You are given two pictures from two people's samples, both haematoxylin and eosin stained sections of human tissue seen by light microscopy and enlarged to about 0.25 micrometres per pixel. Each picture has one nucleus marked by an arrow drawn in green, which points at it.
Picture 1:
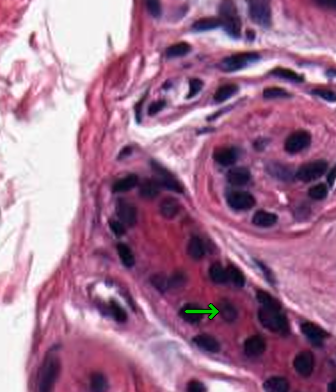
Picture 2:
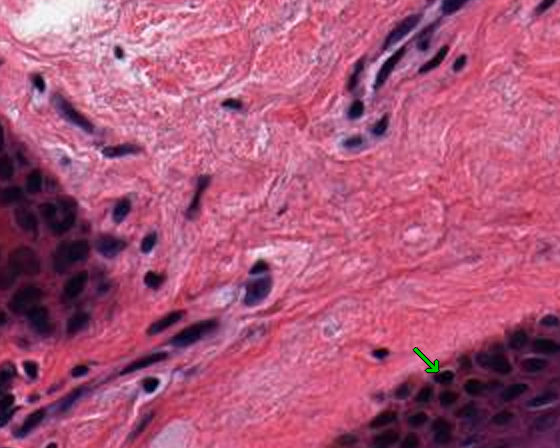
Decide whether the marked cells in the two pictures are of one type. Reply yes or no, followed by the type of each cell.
No, the first is a sweat gland cell and the second a keratinocyte.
